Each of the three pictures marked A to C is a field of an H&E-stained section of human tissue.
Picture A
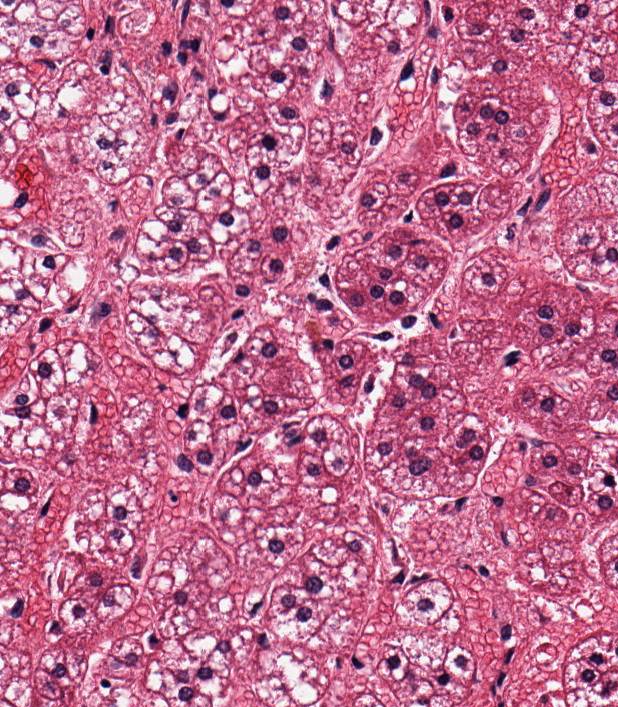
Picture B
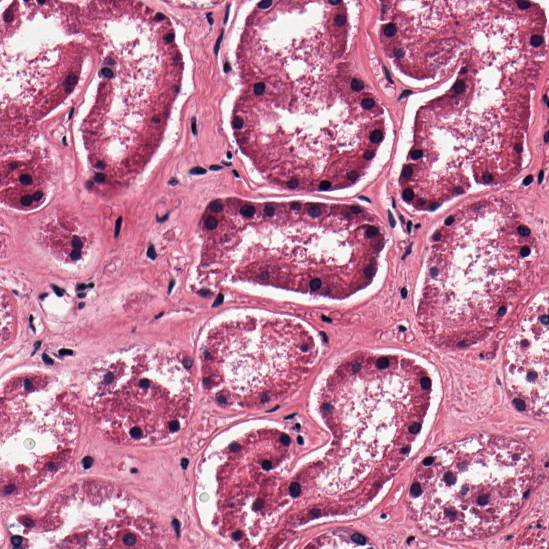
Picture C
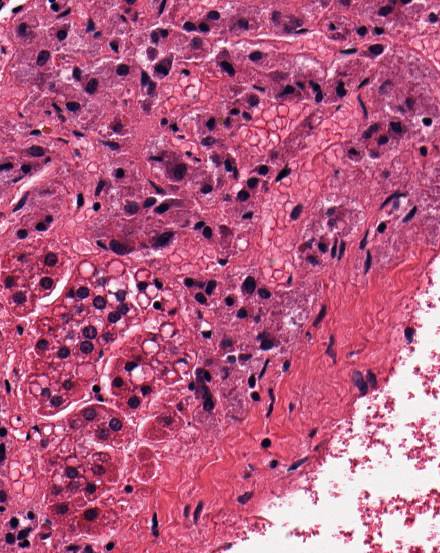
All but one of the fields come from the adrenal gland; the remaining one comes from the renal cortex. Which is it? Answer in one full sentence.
It is picture B that comes from the renal cortex.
